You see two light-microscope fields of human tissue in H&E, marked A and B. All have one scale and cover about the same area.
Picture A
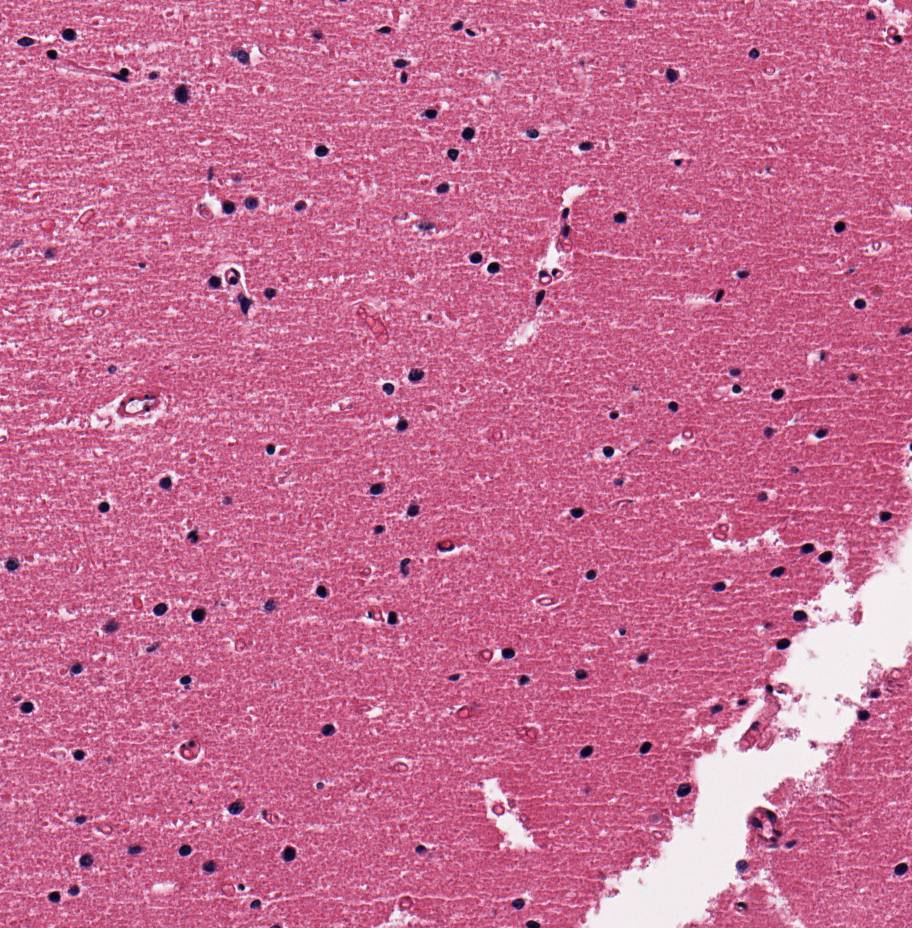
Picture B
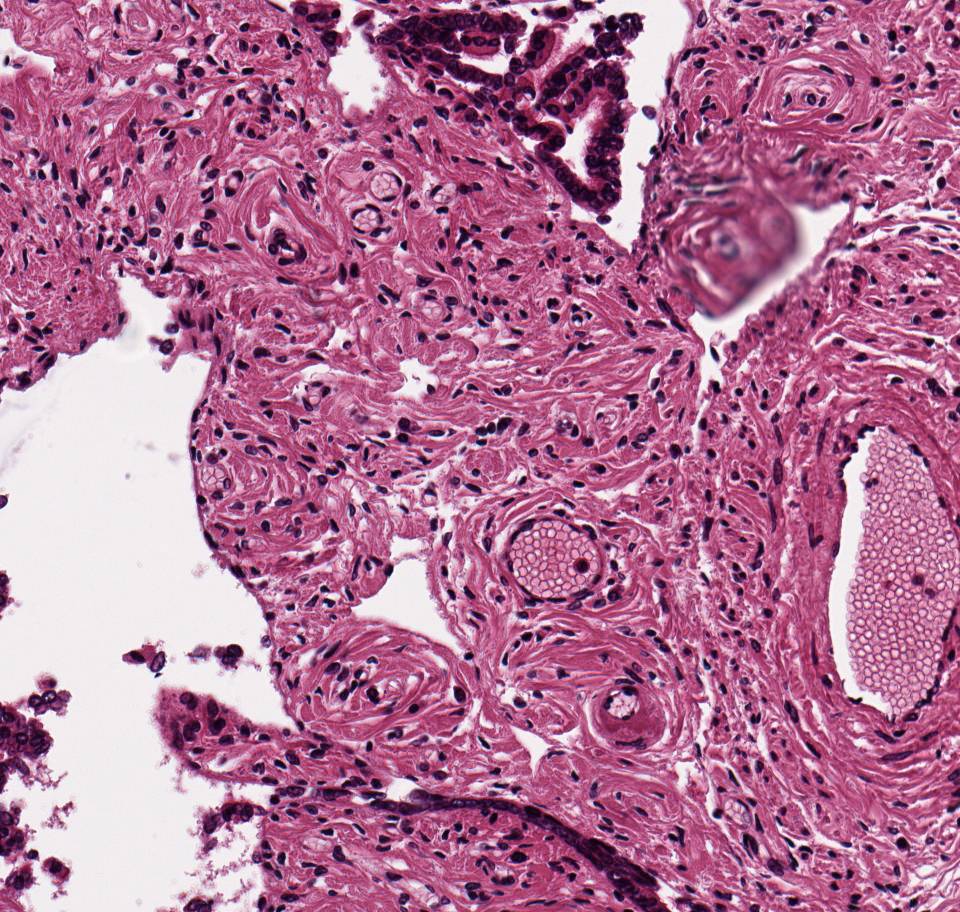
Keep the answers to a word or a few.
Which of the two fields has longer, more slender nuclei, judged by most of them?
B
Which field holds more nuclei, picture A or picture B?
B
